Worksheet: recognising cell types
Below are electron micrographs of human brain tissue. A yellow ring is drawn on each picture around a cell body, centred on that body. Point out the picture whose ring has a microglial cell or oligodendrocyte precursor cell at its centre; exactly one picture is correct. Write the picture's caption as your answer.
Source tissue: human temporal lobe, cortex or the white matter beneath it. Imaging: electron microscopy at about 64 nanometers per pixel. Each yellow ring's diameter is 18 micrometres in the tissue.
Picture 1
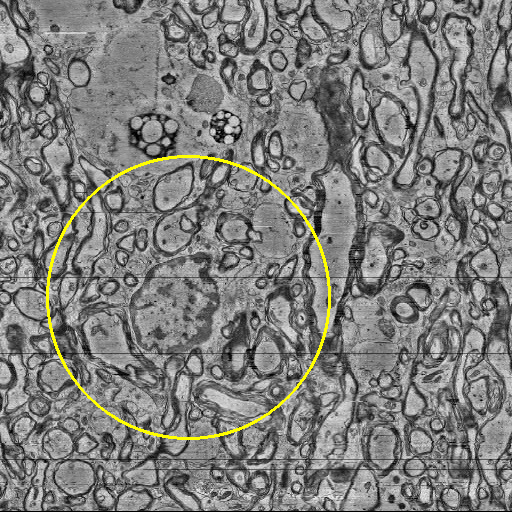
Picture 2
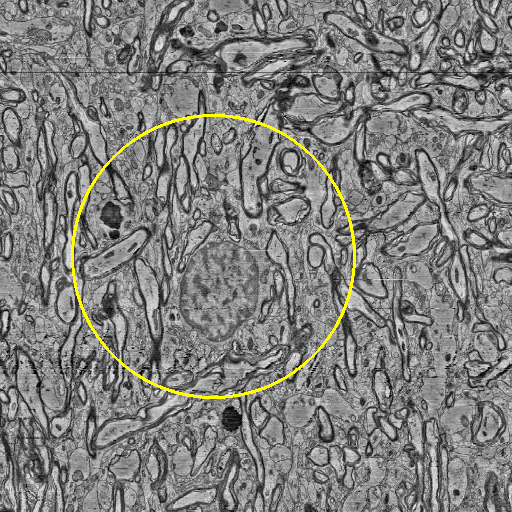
Picture 1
